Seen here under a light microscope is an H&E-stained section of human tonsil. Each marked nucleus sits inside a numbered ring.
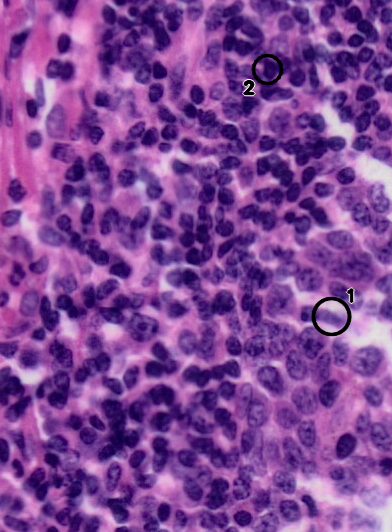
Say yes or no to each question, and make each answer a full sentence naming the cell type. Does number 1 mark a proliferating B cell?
Yes, regarding cell number 1, it is a proliferating B cell.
